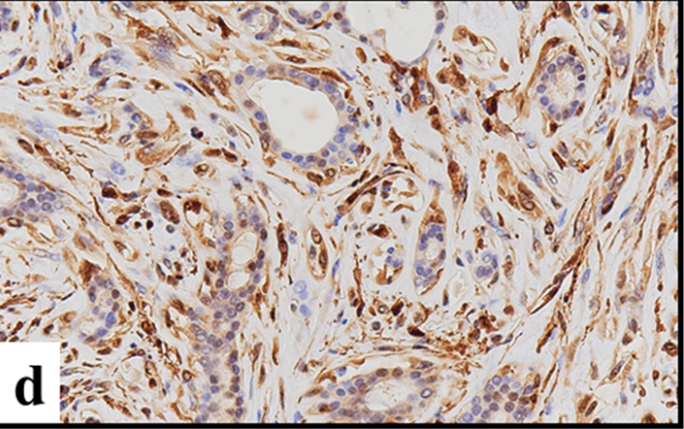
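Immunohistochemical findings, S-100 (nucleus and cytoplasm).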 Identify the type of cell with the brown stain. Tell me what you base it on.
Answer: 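Outer layer of cells and polygonal and spindle cells. Brown stain marks elongated and angular cells in the tissue between the tubules. The cells lining the lumens have mostly blue nuclei and pale cytoplasm.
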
